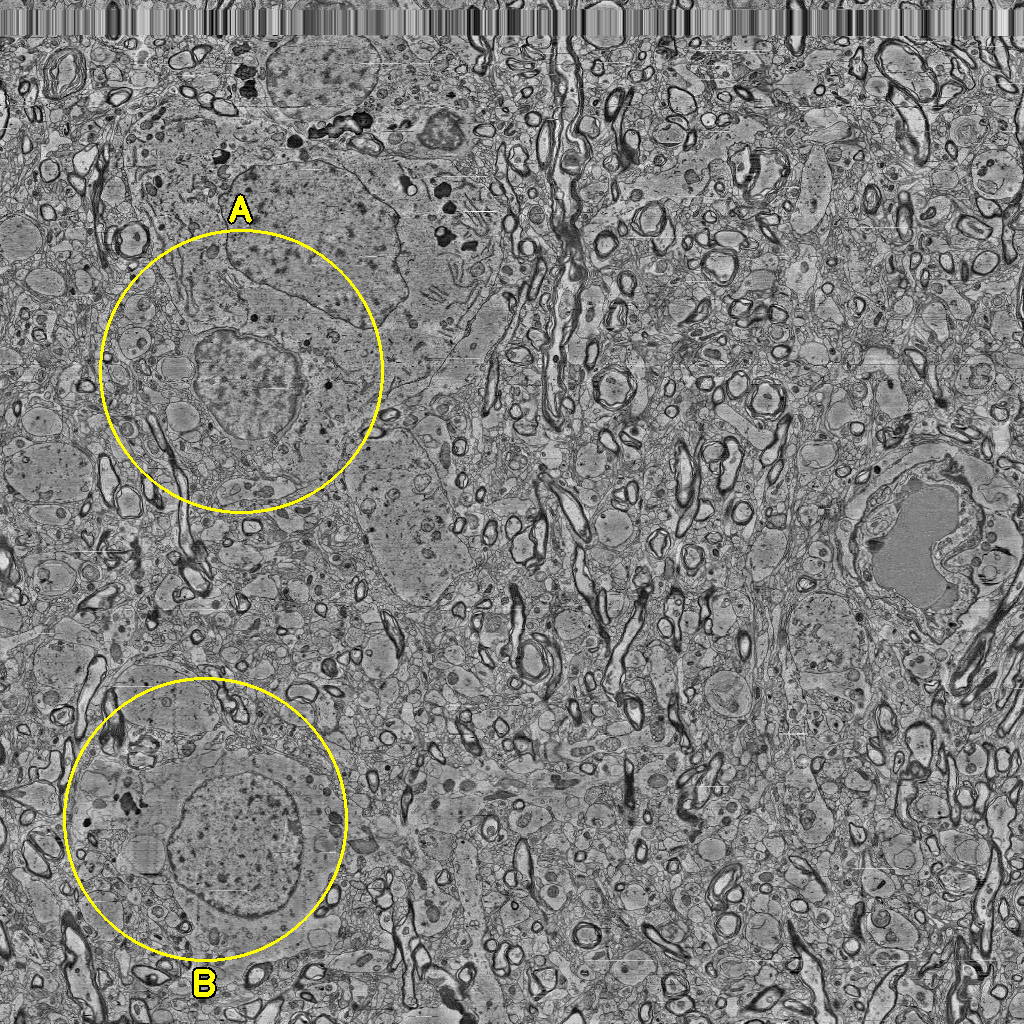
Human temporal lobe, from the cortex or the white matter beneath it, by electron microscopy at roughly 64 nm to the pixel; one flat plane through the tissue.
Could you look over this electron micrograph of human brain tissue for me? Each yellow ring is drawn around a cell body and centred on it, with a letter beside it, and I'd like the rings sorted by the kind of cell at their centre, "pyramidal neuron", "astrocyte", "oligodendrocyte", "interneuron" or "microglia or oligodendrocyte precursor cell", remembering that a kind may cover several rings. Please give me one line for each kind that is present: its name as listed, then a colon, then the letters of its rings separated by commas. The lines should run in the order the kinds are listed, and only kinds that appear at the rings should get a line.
astrocyte: B
oligodendrocyte: A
